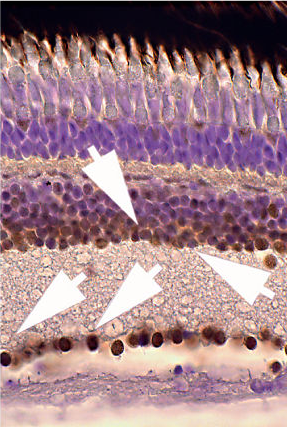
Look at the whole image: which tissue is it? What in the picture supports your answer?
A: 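Distinct stacked layers of nuclei alternating with pale fibrous bands. A black pigmented band at the top with tapering elongated outer segments beneath it.
Answer: retina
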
